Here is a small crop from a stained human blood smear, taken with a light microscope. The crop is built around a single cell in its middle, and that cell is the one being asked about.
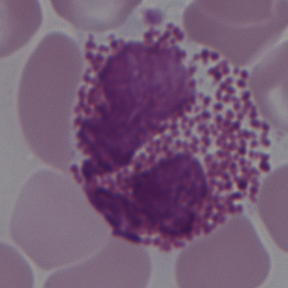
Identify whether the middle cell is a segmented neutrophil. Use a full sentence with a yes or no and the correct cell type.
No, the central cell is properly termed an eosinophil, not a segmented neutrophil.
